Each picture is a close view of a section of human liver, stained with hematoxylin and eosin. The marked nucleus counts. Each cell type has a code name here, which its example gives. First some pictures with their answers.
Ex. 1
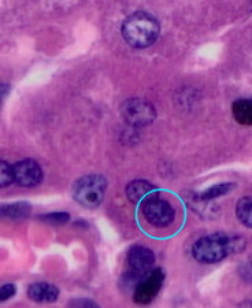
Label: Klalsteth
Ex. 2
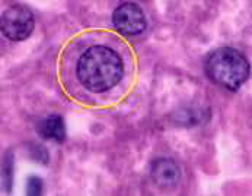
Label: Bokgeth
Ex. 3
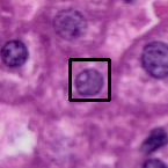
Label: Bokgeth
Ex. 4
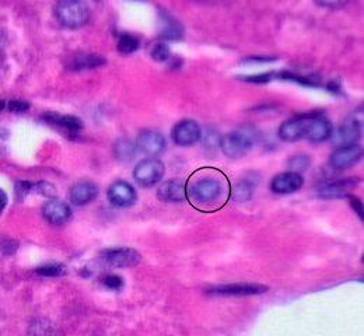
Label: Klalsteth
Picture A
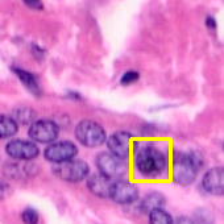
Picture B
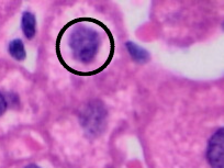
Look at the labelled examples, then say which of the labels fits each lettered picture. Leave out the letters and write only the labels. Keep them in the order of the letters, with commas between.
Klalsteth, Bokgeth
